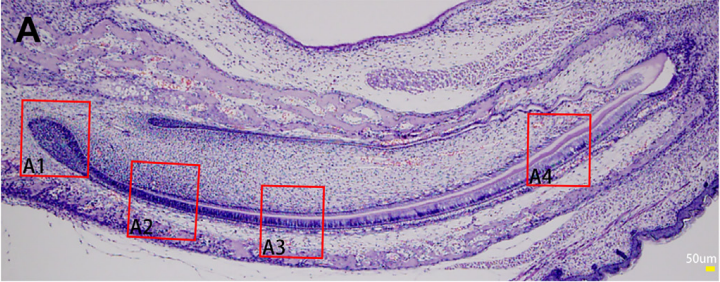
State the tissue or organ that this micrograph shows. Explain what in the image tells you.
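Mandibular incisor. A long curved tooth runs the length of the section, embedded in bone. An epithelial bulb at one end continues into a thin cell layer along the tooth. A pink hard-tissue layer lines the tooth toward the erupting end.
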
